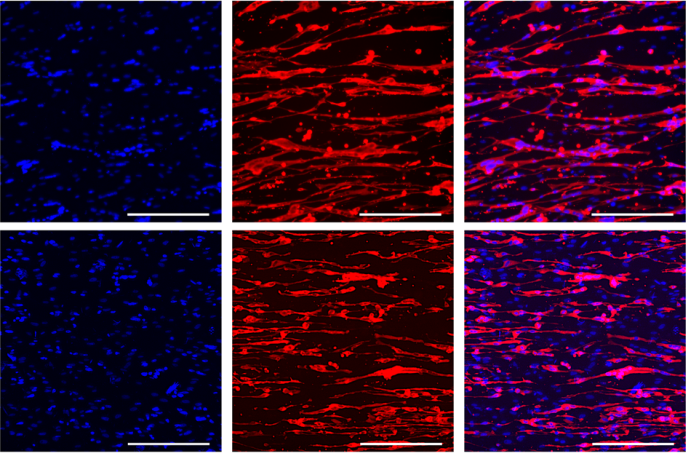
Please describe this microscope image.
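These are cultured muscle cells that have differentiated into elongated muscle fibers, filled with red, lying among many blue-stained nuclei. The fibers are long and thin, run roughly parallel to one another across the field, and vary in width along their length, with some bulging swellings. Blue nuclei lie along and within several of the red fibers, while many other nuclei lie between the fibers without red around them. The culture is dense, with nuclei spread across the whole field.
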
